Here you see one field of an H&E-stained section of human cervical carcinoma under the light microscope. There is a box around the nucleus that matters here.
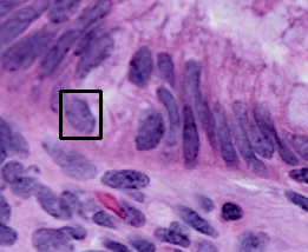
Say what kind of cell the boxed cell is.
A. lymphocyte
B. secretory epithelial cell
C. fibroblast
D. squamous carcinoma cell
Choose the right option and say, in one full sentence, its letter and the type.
In agreement with option B, the boxed cell is a secretory epithelial cell.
